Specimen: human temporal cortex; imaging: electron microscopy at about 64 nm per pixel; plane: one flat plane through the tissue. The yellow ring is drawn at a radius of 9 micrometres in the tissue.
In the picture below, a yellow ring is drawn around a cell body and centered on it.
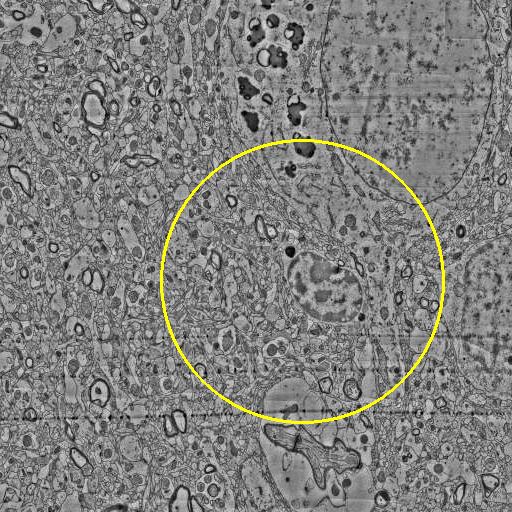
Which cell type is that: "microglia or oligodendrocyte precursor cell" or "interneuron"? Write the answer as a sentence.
The cell centered in the ring is a microglial cell or oligodendrocyte precursor cell.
